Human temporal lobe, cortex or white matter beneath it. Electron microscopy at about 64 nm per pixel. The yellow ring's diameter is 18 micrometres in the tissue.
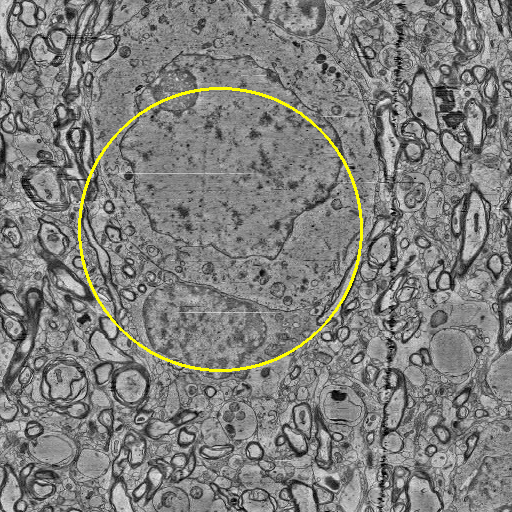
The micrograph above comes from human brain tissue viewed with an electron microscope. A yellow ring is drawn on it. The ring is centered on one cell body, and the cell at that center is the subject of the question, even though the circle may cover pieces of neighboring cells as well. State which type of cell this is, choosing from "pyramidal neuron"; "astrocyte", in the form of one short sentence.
The cell the ring is centered on is a pyramidal neuron.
